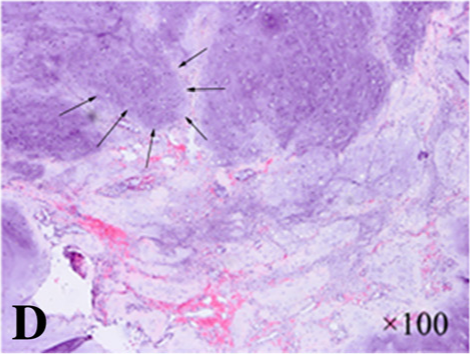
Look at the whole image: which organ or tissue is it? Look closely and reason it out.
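Rounded lobules of purple-blue matrix crowded with small cells. Looser paler tissue with pink strands lies below the lobules. That points to this answer: cartilaginous lesion.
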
